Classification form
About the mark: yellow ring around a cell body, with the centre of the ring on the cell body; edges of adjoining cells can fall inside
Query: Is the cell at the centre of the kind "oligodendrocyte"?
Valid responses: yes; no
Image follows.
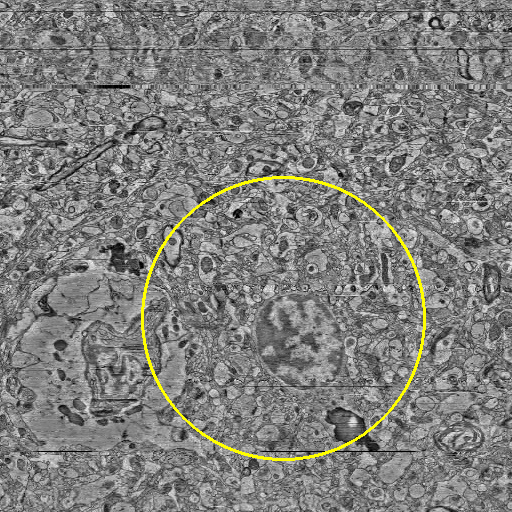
yes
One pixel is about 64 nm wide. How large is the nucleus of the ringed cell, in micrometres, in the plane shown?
Roughly 6 by 5 micrometres is the size of the nucleus in this plane.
